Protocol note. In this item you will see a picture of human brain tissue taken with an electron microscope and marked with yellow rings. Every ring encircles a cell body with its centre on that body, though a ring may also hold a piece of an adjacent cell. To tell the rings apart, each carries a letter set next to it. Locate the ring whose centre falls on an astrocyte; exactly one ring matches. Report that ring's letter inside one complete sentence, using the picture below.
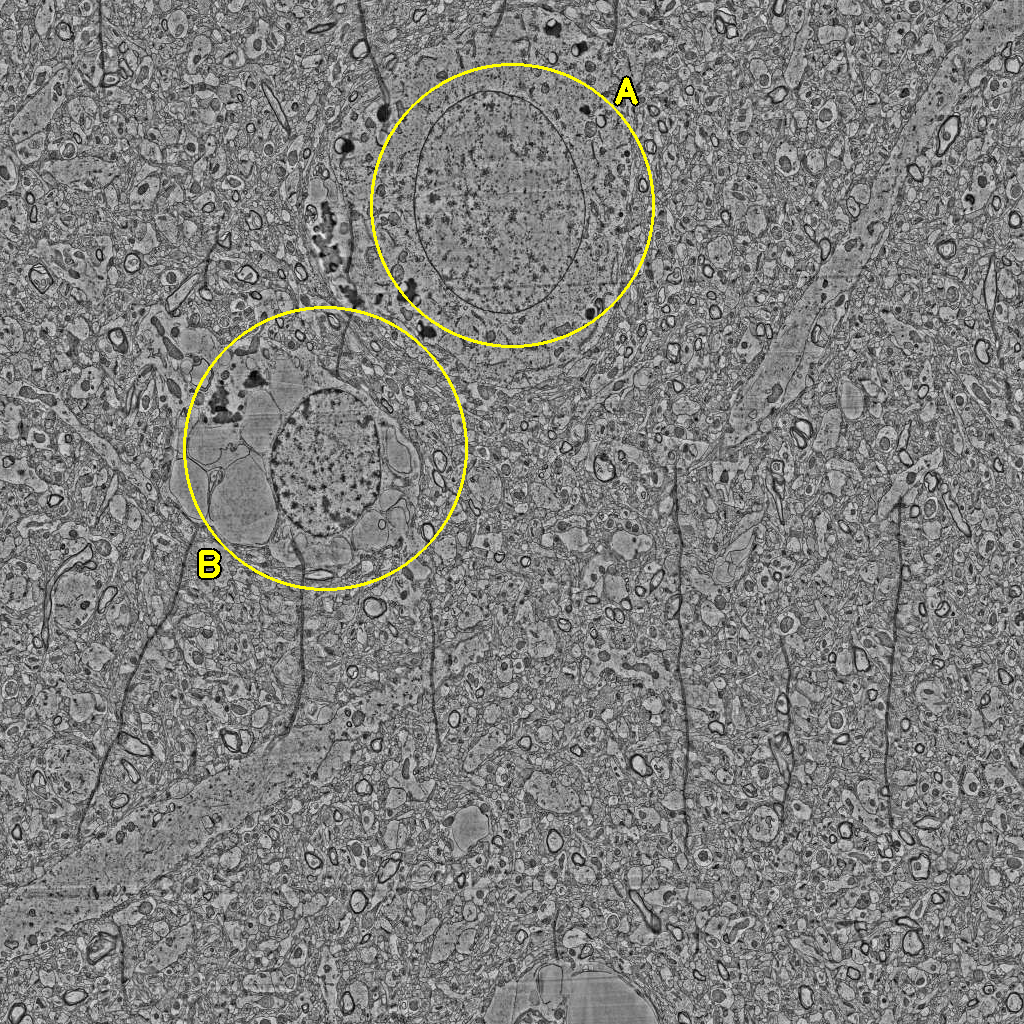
My answer is B, the ring whose centre falls on that kind of cell.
